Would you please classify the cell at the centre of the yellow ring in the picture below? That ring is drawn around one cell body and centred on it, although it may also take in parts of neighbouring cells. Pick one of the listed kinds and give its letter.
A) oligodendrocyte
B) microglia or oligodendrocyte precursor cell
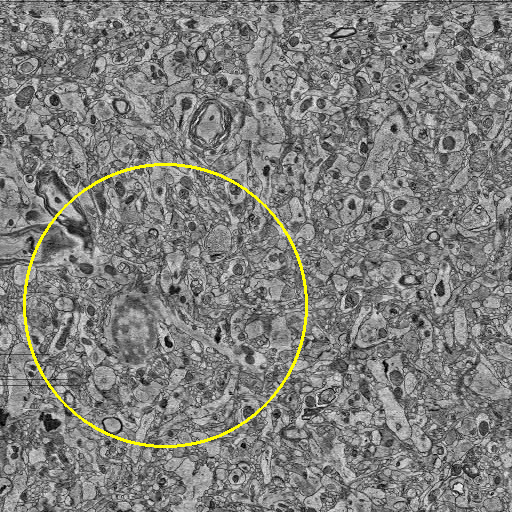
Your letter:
A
